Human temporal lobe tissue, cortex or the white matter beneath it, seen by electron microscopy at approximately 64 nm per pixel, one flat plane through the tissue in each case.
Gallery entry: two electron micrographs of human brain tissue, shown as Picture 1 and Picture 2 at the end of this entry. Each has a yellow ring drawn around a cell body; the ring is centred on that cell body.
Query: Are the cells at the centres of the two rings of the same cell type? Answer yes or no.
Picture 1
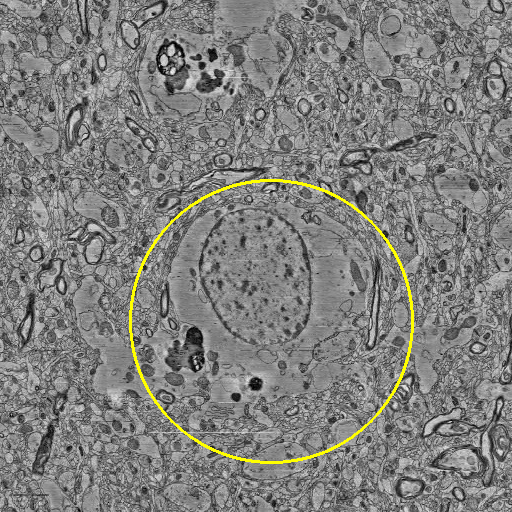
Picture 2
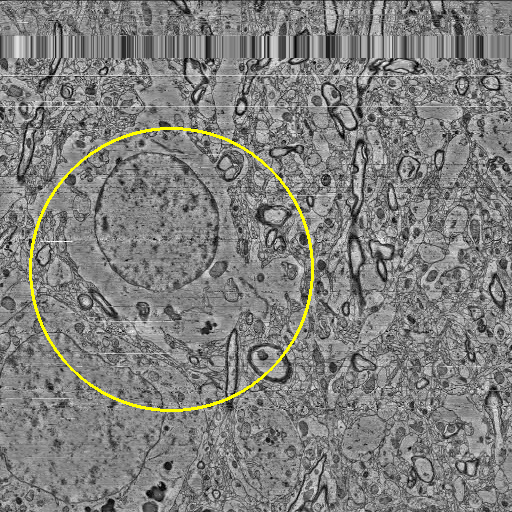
yes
